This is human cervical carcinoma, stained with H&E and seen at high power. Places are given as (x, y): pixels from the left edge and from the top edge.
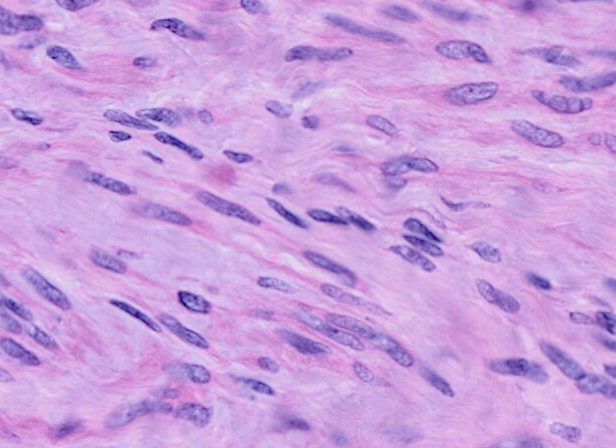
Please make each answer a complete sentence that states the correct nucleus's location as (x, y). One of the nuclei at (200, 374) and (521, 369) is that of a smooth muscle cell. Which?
The nucleus at (200, 374) is the one that belongs to a smooth muscle cell.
